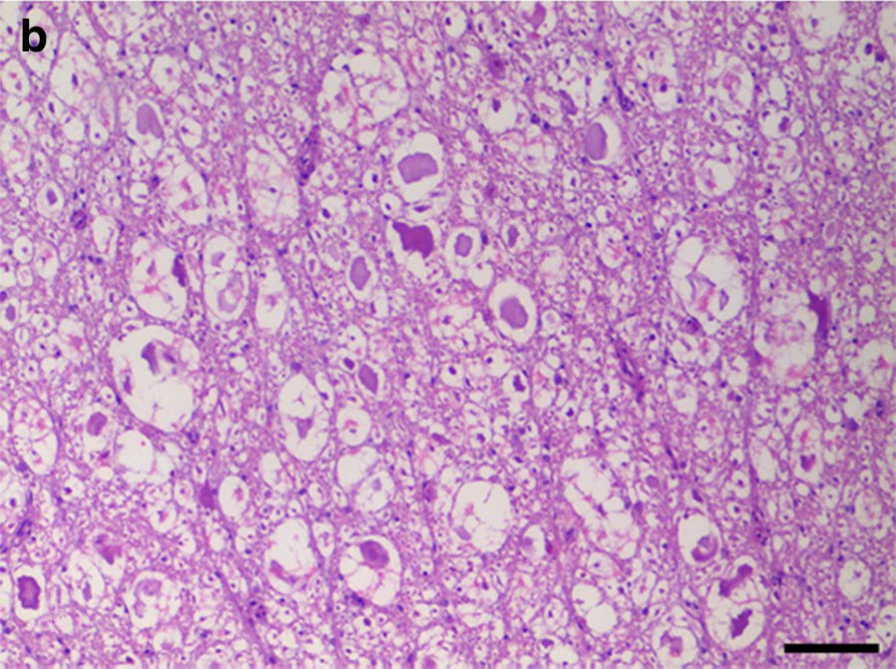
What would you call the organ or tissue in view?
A: white matter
